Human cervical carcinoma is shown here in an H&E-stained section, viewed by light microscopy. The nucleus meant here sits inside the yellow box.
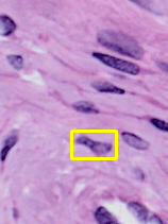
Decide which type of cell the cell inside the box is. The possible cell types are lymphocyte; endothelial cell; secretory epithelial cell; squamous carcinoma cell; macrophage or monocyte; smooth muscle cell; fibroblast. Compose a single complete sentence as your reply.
As a matter of cell type, the cell inside the box is a fibroblast.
